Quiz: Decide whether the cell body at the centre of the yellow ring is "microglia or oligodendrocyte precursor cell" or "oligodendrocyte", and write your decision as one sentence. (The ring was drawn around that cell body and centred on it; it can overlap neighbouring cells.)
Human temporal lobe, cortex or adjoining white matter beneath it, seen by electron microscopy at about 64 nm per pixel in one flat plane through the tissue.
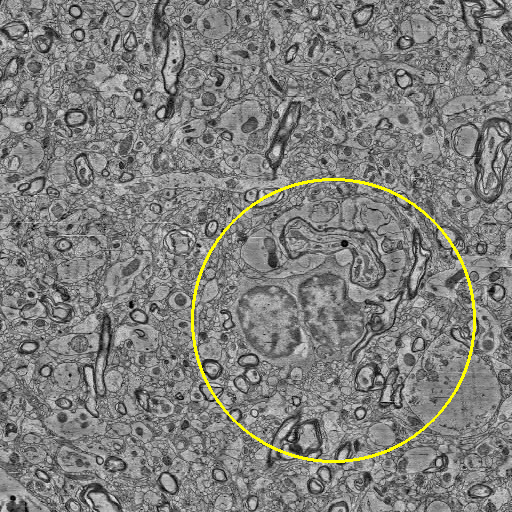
The cell the ring is centred on is an oligodendrocyte.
